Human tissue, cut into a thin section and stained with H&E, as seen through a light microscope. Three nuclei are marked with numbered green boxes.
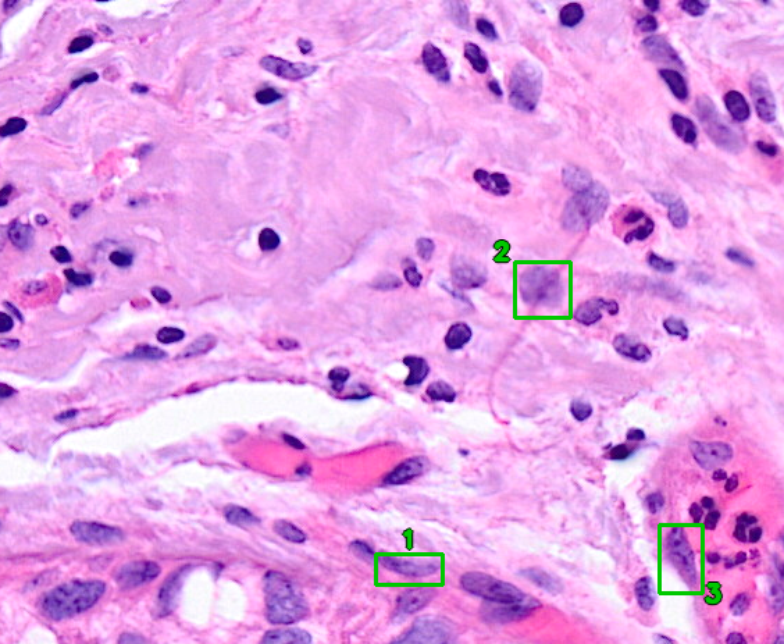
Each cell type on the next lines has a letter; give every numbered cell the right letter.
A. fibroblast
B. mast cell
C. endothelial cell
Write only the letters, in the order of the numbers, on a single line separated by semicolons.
C; A; C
